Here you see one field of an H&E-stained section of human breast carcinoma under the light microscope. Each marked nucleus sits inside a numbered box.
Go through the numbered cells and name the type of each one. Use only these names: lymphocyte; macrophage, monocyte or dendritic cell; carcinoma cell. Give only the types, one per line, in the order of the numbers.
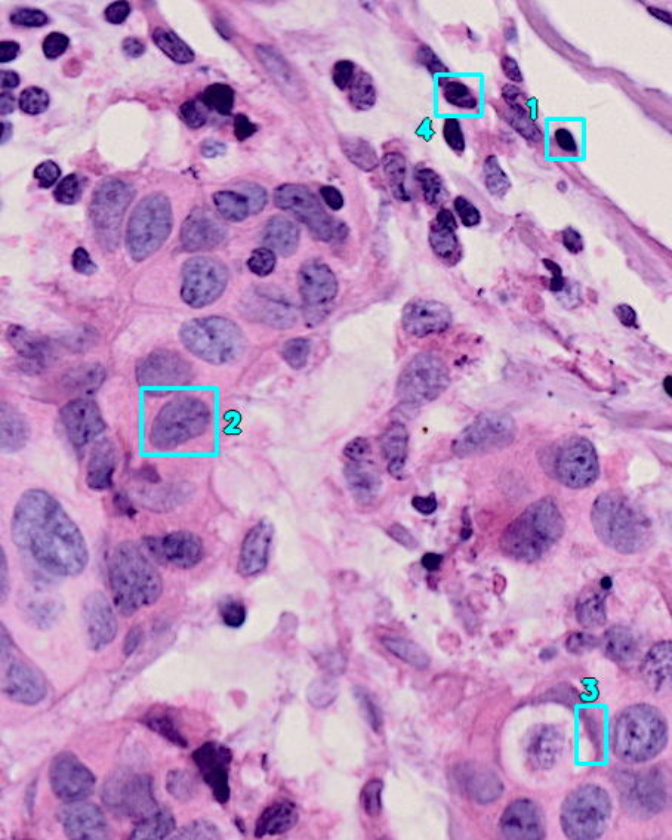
lymphocyte
carcinoma cell
carcinoma cell
lymphocyte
